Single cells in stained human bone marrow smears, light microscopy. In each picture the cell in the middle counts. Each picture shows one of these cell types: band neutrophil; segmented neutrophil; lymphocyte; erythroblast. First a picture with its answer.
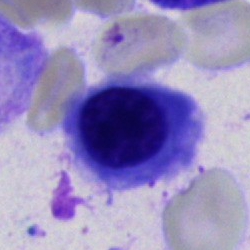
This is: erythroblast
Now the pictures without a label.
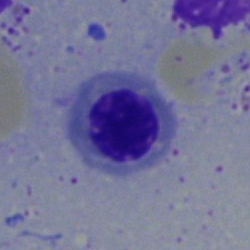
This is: erythroblast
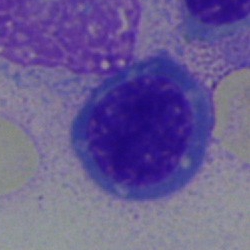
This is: erythroblast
